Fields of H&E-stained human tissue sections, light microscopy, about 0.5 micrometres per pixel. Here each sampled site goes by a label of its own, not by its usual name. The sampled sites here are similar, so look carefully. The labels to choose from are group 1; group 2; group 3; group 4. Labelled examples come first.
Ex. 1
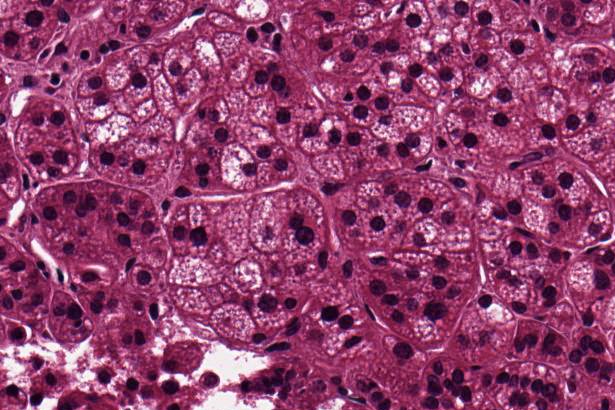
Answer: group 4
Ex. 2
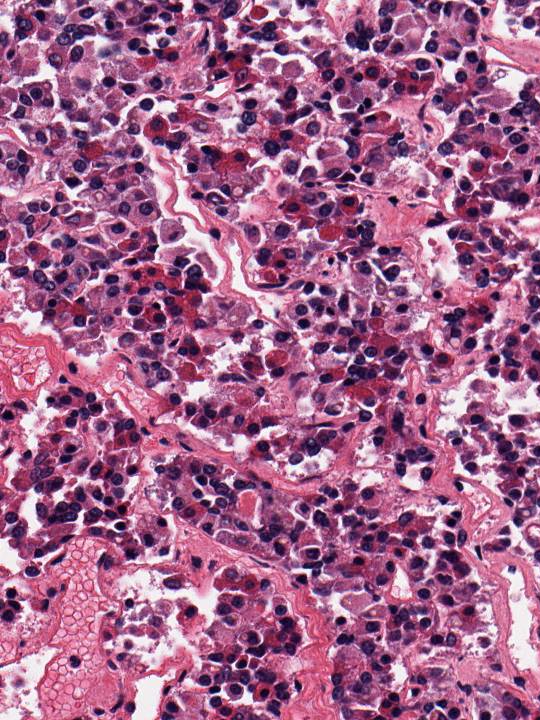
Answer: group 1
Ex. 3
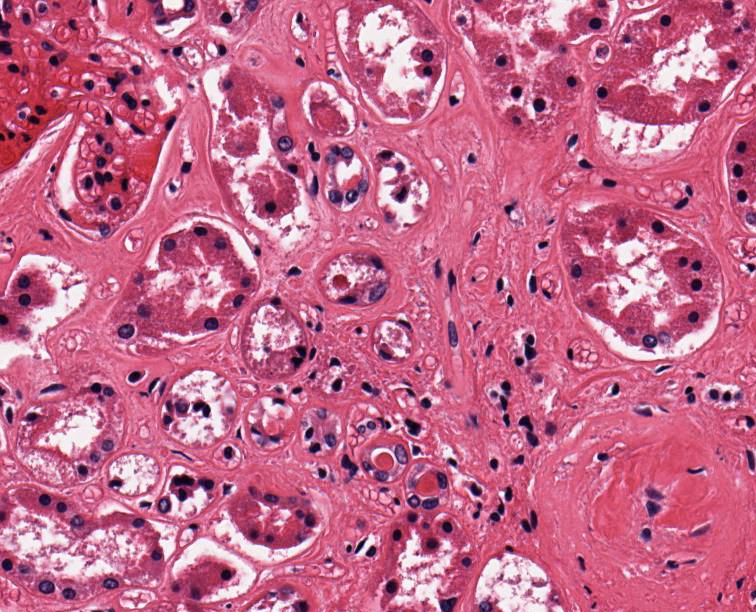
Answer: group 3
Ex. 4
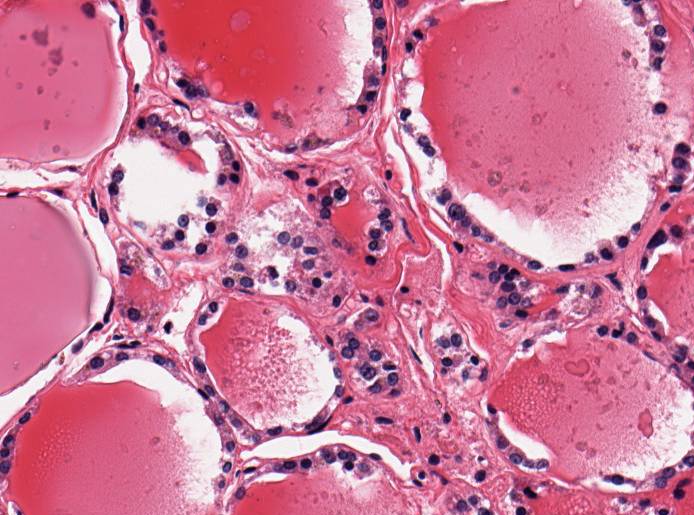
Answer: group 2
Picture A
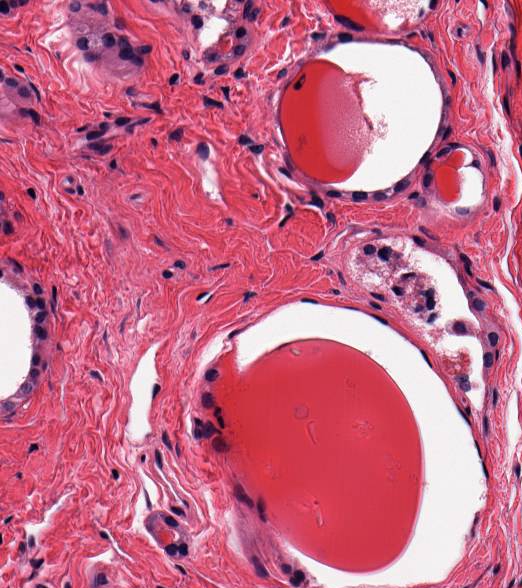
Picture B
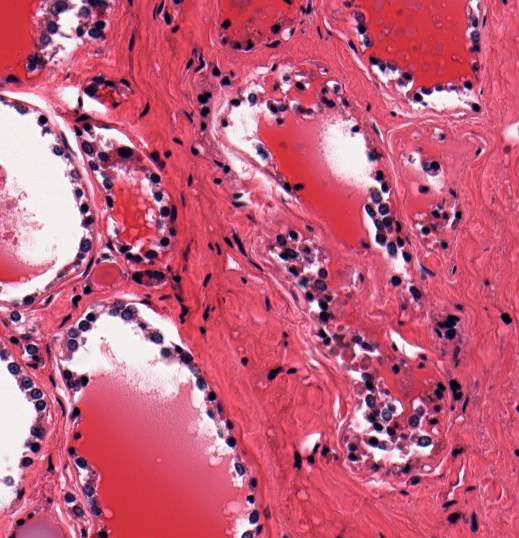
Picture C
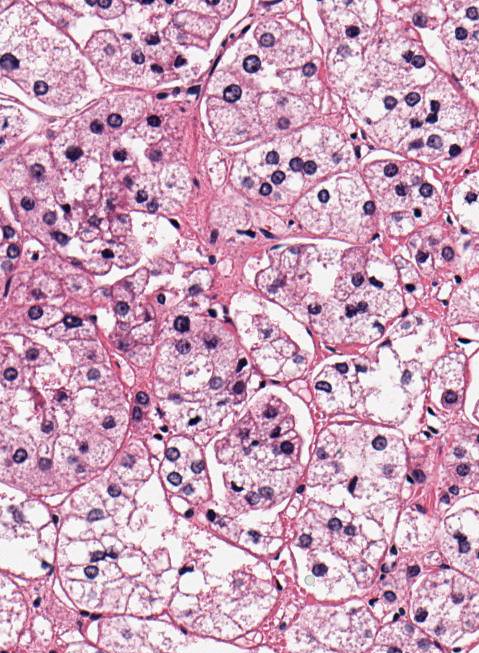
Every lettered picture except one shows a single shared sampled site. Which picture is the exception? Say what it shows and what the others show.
Odd one out: C (group 4). The rest: group 2.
